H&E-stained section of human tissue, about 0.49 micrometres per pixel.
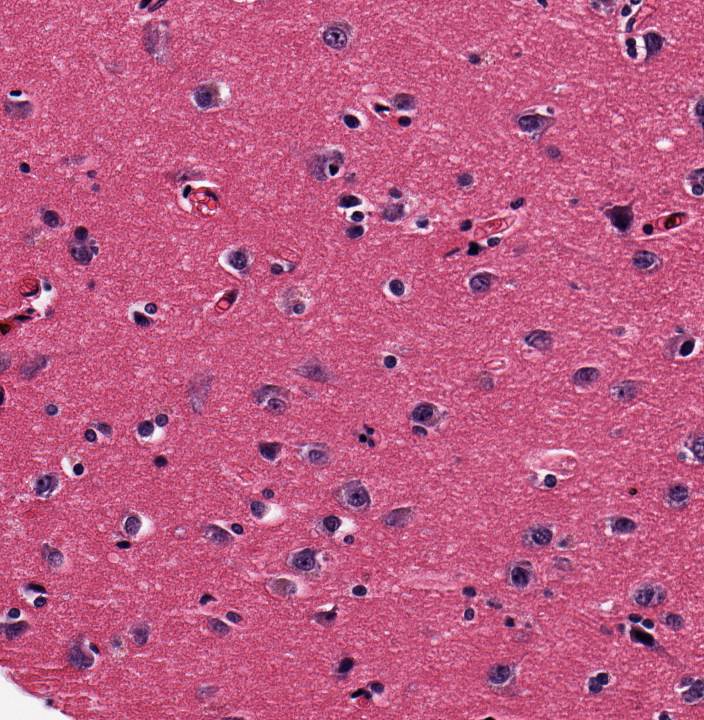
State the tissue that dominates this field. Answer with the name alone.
cerebral cortex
